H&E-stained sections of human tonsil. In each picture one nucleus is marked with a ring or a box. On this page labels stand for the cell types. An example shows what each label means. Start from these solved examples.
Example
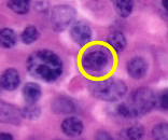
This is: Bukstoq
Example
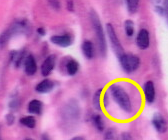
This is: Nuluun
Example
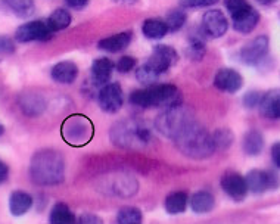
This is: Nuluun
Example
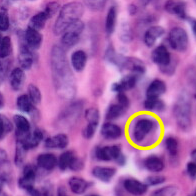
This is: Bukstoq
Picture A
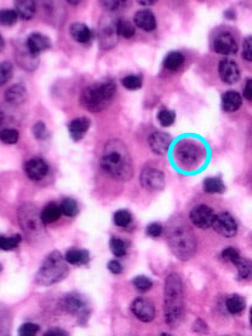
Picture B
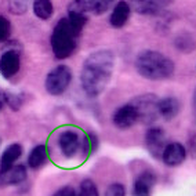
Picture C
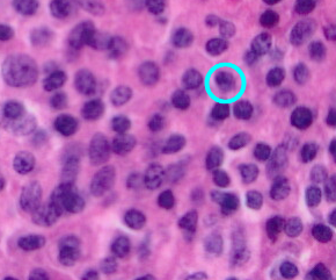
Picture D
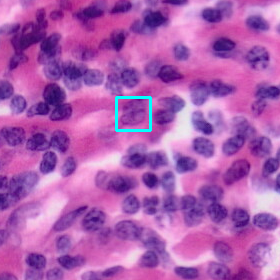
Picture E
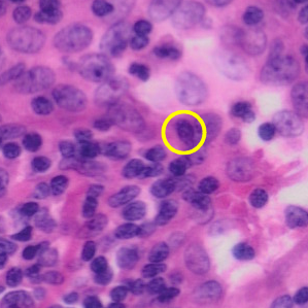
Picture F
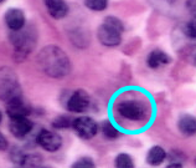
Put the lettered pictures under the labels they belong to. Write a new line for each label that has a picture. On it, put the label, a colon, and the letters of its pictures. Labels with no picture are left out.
Bukstoq: A, B, C
Nuluun: D, E, F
